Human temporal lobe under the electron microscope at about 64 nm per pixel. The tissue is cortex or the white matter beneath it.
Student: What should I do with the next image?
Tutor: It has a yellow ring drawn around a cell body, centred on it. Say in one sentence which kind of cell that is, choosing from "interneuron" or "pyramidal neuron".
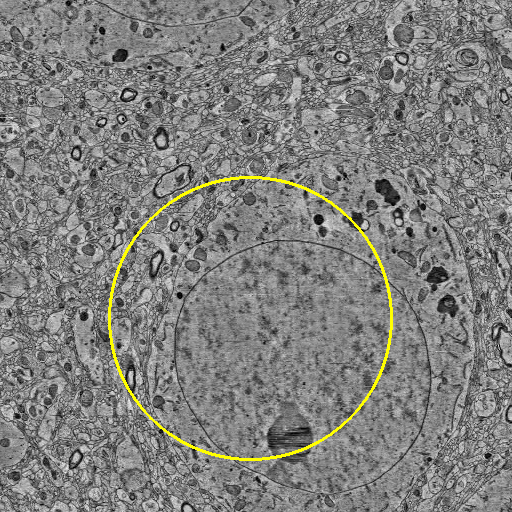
The ring's centre is occupied by a pyramidal neuron.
